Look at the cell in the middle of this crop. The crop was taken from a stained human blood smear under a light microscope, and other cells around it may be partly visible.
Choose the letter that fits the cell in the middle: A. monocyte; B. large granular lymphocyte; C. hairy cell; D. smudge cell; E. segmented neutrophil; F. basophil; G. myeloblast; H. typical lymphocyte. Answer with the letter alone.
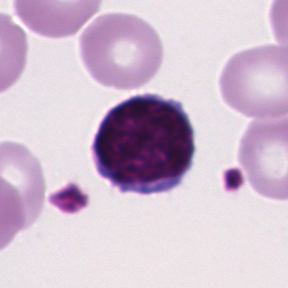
H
